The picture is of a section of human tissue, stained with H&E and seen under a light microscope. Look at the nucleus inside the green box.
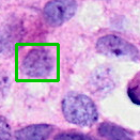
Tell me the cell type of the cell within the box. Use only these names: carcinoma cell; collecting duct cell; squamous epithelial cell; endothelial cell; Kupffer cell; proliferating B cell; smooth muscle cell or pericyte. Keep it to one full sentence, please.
Just put down that the cell within the box is a carcinoma cell.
